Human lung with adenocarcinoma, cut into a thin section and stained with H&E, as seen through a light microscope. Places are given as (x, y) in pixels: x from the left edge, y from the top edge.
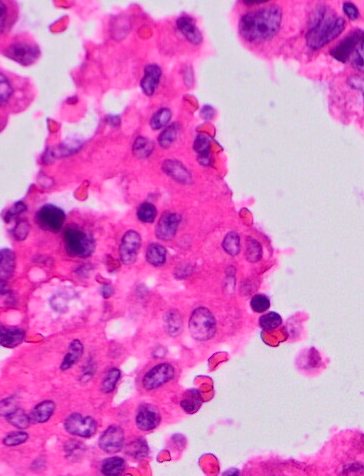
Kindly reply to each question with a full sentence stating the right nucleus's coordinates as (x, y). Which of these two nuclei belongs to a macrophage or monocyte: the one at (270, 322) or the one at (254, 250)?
Of the two nuclei, that at (254, 250) is the nucleus of a macrophage or monocyte.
